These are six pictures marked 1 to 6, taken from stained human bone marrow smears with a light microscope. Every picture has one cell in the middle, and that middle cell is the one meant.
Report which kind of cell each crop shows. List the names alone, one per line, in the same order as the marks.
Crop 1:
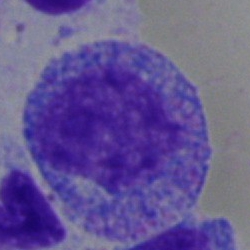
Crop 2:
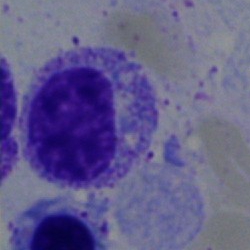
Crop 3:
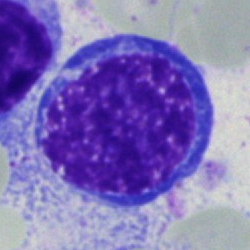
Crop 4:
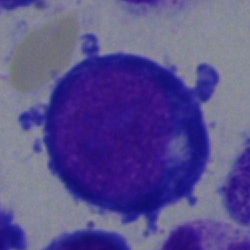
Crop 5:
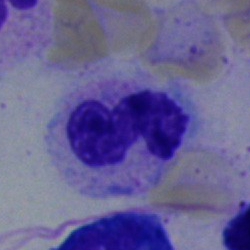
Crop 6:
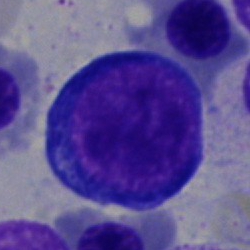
promyelocyte
myelocyte
proerythroblast
proerythroblast
band neutrophil
proerythroblast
